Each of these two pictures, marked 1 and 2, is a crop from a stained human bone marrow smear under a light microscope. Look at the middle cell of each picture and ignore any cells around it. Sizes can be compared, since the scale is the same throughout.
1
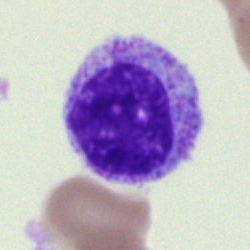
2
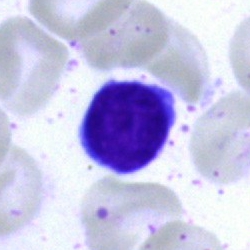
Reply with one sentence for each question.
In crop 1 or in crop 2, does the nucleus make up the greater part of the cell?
The nucleus fills more of the cell in crop 2 than in crop 1.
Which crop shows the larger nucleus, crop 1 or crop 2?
The nucleus in crop 1 is larger, with about 1.5 times the area of the one in crop 2.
